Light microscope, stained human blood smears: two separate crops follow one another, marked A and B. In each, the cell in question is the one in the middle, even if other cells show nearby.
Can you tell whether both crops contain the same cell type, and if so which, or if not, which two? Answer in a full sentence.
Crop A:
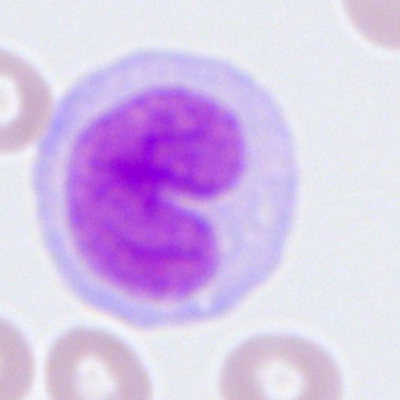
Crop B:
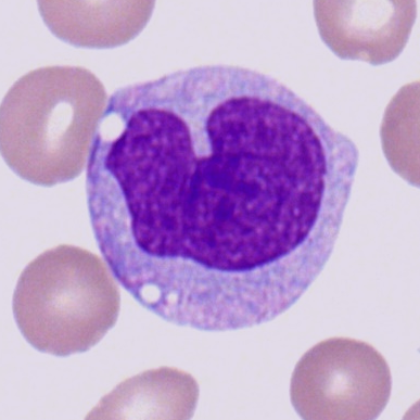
Yes, both crops alike show monocytes at the centre.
